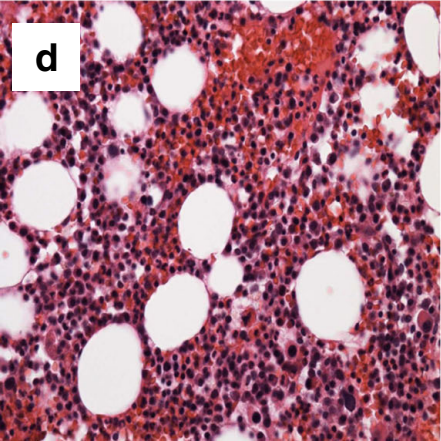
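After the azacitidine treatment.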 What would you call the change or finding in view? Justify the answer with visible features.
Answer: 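Hypercellular marrow. Densely packed nucleated cells and blood fill the spaces between the fat vacuoles.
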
